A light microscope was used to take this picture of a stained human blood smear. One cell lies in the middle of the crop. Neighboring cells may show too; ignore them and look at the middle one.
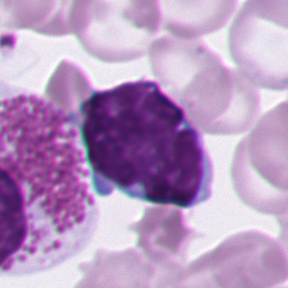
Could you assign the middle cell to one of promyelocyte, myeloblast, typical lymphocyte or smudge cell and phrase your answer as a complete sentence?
Occupying the centre of the crop is a typical lymphocyte.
